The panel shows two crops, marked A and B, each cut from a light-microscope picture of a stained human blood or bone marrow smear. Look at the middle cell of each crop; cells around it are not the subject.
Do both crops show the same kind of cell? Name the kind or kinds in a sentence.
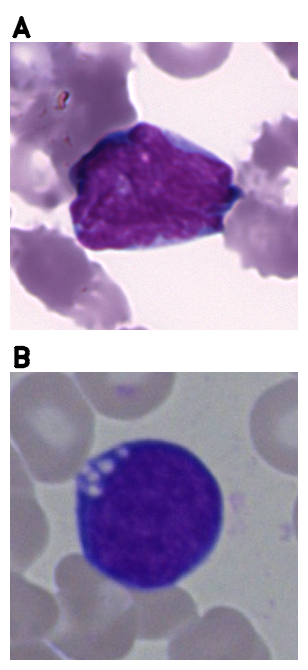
Yes, in short, both crops show blasts.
